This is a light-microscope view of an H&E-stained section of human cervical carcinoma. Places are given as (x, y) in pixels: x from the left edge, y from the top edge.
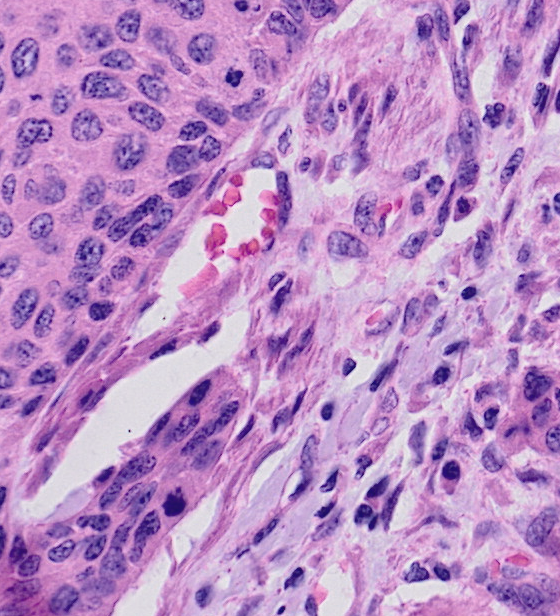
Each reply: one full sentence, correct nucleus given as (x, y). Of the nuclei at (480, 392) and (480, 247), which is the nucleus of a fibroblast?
Identified as belonging to a fibroblast is the nucleus at (480, 247).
